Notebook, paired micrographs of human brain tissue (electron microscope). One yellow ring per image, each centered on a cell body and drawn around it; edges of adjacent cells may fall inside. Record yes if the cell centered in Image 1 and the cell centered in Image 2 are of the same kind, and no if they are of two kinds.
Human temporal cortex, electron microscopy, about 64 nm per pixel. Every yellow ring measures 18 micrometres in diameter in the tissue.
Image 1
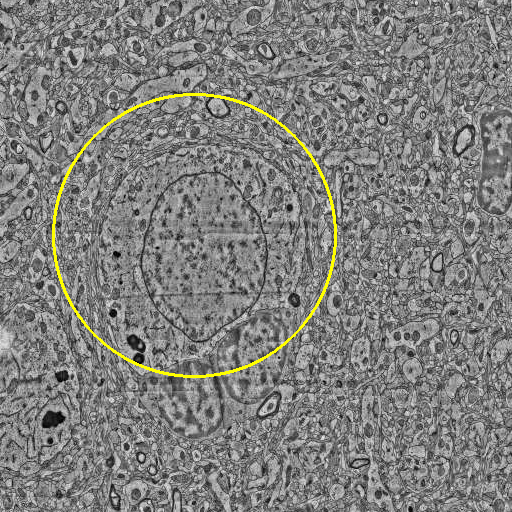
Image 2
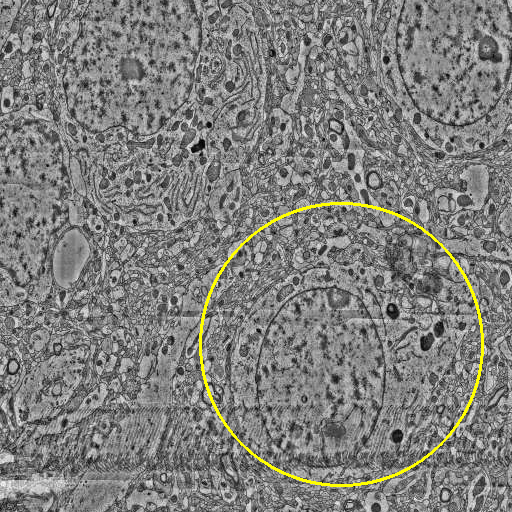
yes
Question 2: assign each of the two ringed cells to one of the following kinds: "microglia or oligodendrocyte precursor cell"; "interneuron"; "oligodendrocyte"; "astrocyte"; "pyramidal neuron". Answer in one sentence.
The cell in the first picture is a pyramidal neuron, and so is the one in the second.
